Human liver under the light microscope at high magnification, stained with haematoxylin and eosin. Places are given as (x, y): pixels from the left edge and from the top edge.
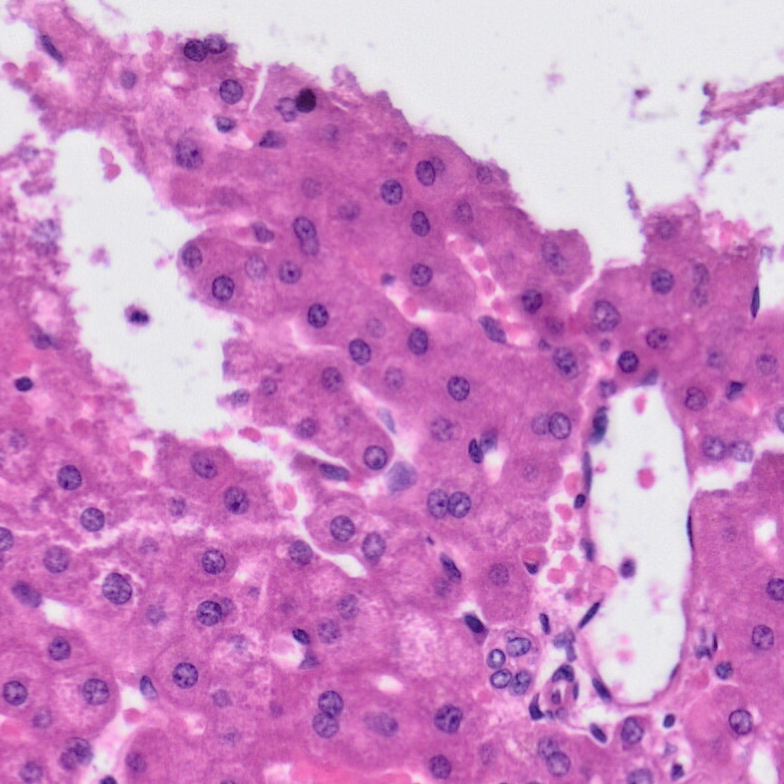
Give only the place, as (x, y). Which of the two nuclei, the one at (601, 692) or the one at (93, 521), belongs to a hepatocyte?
(93, 521)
